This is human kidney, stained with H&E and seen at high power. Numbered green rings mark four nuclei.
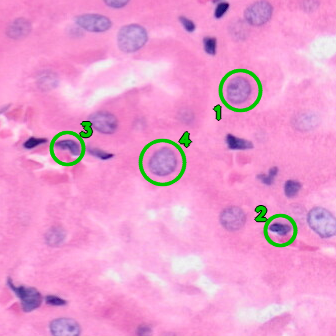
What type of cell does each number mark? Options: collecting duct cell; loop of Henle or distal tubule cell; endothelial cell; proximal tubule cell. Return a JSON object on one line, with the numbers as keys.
{"1": "proximal tubule cell", "2": "endothelial cell", "3": "endothelial cell", "4": "proximal tubule cell"}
